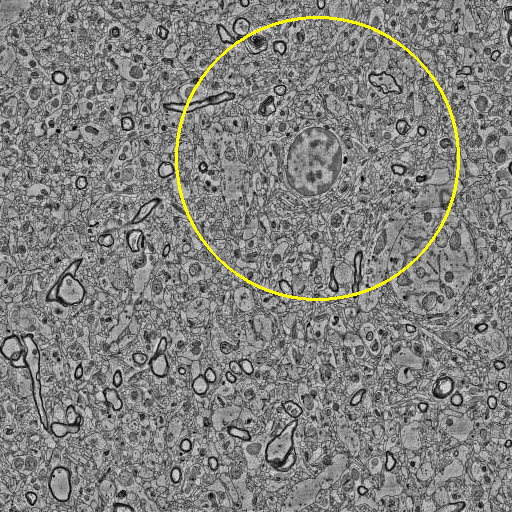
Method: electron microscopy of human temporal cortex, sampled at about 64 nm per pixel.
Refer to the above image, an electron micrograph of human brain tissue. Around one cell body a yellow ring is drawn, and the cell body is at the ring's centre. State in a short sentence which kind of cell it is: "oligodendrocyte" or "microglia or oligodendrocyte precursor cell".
The centre of the ring falls on a microglial cell or oligodendrocyte precursor cell.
